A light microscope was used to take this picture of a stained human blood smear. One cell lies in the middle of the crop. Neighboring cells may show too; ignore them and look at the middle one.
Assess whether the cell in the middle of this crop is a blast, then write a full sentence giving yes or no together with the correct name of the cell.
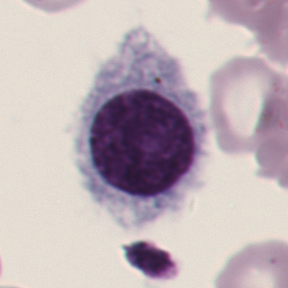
No, the central cell isn't a blast, but a hairy cell.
